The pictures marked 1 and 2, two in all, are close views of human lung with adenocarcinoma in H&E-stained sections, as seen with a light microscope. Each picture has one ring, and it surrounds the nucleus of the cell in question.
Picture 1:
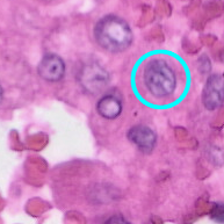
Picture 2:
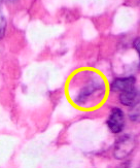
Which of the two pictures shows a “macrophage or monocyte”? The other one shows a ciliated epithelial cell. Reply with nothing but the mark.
1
